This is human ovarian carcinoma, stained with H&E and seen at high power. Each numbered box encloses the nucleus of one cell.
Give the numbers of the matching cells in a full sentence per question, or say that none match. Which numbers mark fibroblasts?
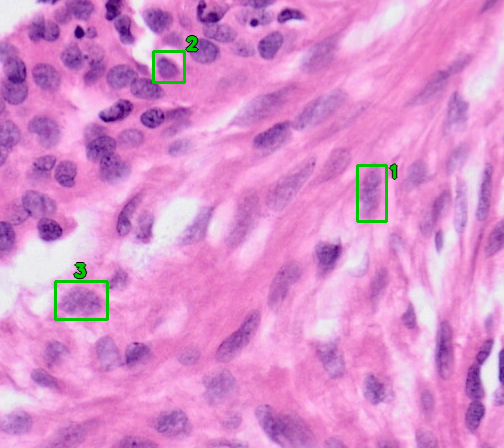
Marked by the numbers 1 and 3 are cells that are fibroblasts.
